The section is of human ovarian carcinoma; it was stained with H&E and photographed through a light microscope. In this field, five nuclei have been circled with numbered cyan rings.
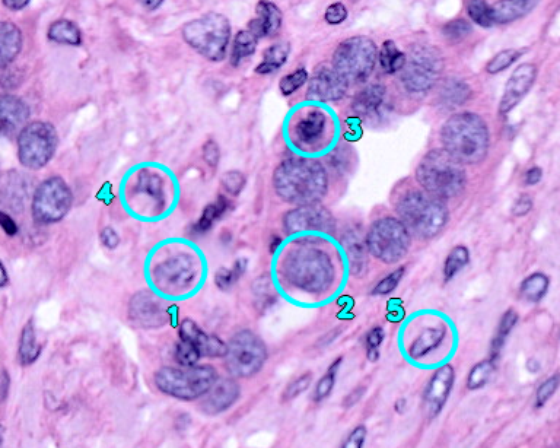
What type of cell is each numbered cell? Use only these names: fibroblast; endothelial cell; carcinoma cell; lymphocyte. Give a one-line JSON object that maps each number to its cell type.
{"1": "fibroblast", "2": "carcinoma cell", "3": "lymphocyte", "4": "fibroblast", "5": "fibroblast"}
